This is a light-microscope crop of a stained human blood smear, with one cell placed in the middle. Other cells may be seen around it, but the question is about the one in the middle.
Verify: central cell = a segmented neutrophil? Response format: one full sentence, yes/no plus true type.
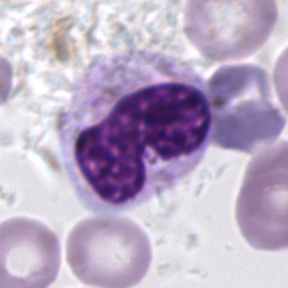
No, it is a band neutrophil that sits in the middle, not a segmented neutrophil.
